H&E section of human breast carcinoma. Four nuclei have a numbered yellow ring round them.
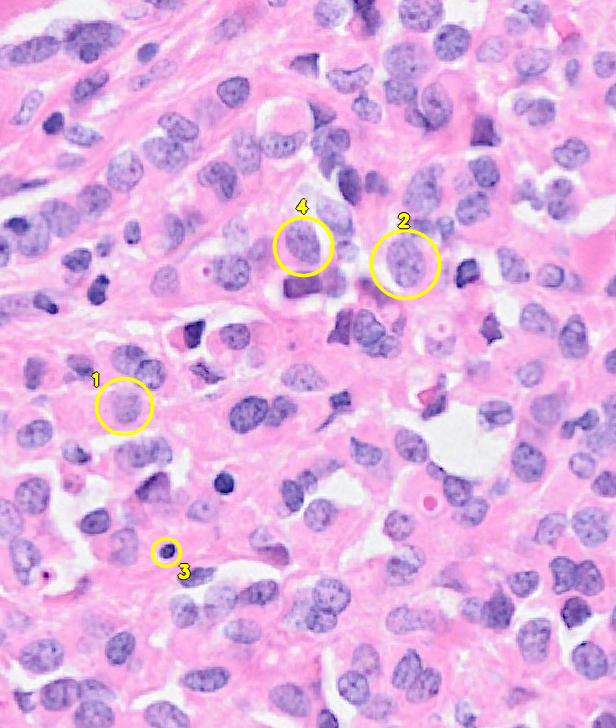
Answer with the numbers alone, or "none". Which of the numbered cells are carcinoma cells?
1, 2, 4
